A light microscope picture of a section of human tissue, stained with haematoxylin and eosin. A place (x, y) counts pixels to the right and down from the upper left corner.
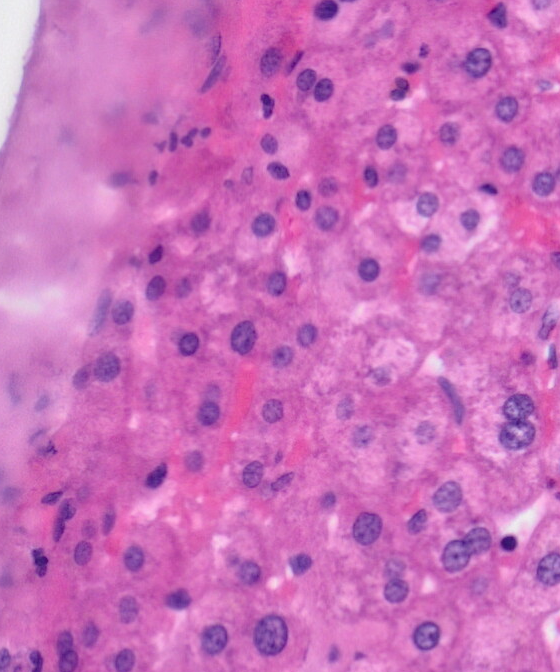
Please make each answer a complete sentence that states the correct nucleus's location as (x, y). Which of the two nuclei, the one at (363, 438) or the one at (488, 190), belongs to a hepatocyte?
The nucleus at (363, 438), rather than the other, belongs to a hepatocyte.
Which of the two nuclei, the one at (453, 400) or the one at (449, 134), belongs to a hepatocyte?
The nucleus situated at (449, 134) is the one belonging to a hepatocyte.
